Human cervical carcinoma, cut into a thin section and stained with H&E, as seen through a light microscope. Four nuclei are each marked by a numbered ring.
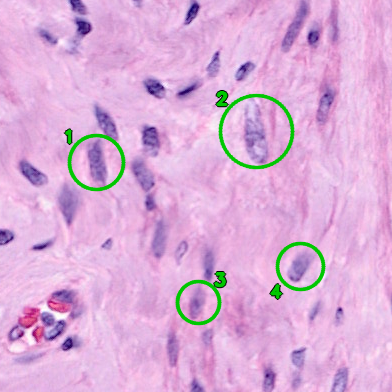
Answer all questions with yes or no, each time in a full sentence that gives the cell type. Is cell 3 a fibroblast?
No, it is a smooth muscle cell, rather than a fibroblast, that carries number 3.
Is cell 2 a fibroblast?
No, the cell marked 2 is a smooth muscle cell rather than a fibroblast.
